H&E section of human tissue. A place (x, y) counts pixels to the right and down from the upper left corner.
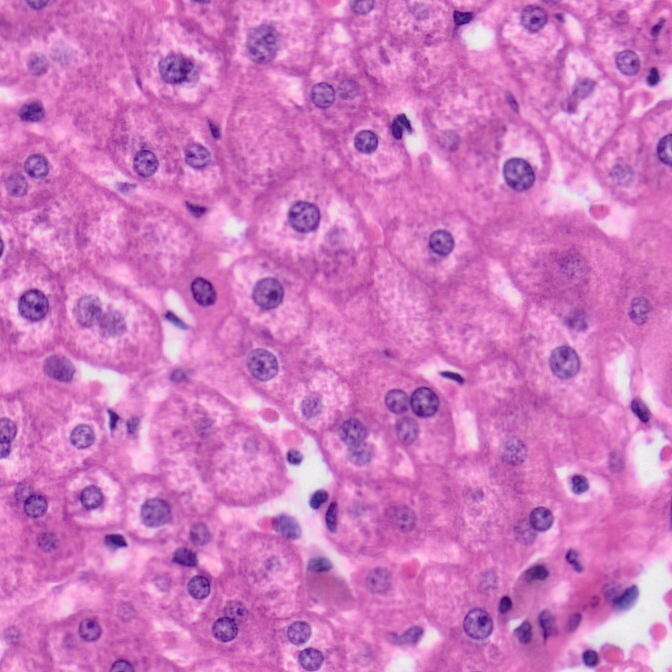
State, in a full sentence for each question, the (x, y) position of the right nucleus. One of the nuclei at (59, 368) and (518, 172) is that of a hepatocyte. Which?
The nucleus at (518, 172) is housed in a hepatocyte.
